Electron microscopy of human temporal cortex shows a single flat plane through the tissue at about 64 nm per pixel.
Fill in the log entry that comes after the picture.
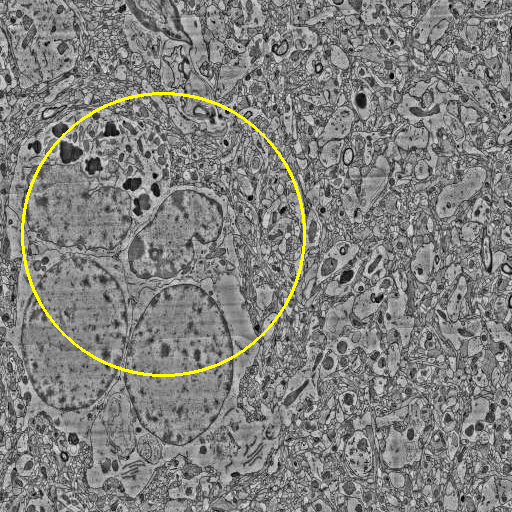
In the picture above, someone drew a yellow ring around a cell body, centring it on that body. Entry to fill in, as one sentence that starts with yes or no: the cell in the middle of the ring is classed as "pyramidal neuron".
No, the cell in the ring's centre in this image is of a different kind.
